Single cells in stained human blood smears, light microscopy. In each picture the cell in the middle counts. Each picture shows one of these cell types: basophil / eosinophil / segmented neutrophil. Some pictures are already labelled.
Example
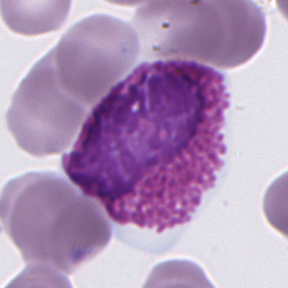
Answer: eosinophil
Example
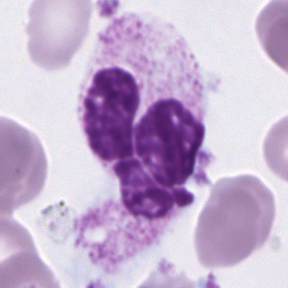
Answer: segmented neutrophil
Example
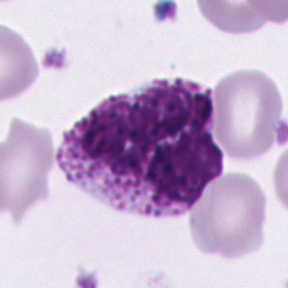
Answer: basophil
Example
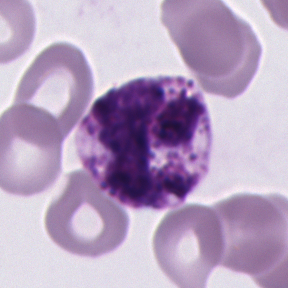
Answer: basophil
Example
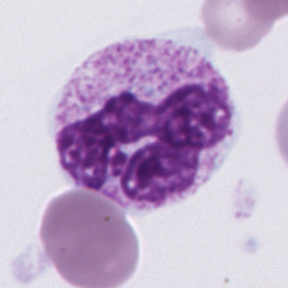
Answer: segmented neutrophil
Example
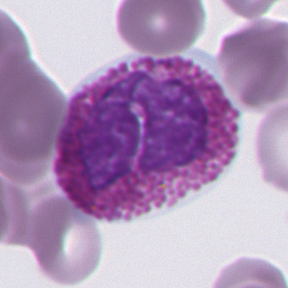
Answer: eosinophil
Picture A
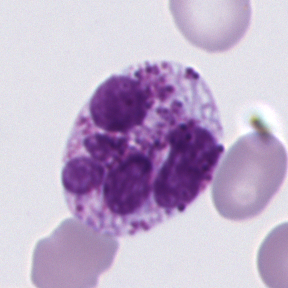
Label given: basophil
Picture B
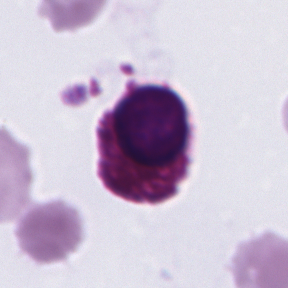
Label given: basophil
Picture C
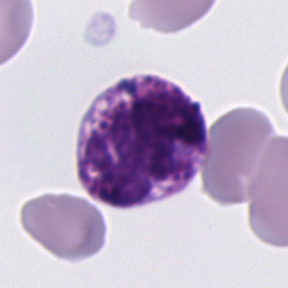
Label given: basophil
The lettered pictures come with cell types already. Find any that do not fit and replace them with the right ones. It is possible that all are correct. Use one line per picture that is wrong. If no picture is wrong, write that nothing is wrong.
B: eosinophil, not basophil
